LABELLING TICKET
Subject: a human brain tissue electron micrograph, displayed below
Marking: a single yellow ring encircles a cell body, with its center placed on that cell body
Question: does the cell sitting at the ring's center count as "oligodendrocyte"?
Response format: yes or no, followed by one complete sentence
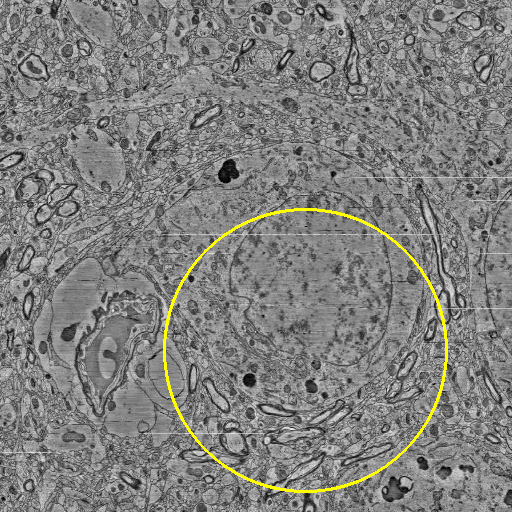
No, the cell at the center of the ring in the picture belongs to another kind.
